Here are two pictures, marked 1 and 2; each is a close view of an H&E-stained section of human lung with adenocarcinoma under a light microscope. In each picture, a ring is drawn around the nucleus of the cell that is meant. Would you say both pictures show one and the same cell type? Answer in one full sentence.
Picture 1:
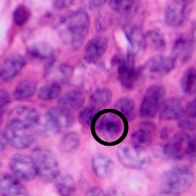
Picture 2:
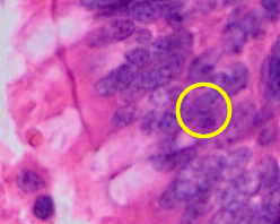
Yes; the cells in both pictures are ciliated epithelial cells.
